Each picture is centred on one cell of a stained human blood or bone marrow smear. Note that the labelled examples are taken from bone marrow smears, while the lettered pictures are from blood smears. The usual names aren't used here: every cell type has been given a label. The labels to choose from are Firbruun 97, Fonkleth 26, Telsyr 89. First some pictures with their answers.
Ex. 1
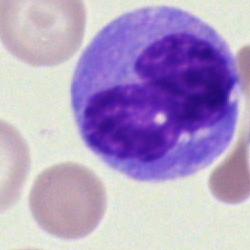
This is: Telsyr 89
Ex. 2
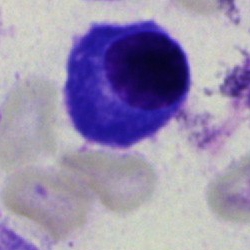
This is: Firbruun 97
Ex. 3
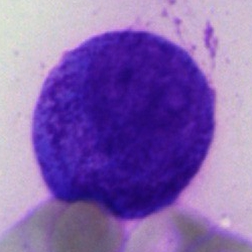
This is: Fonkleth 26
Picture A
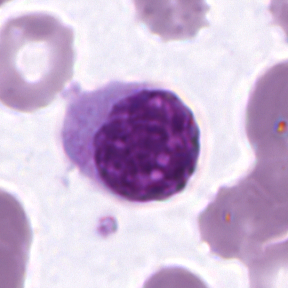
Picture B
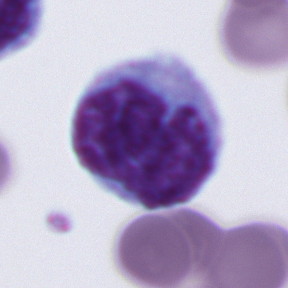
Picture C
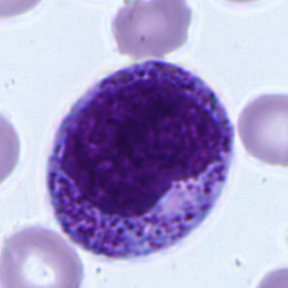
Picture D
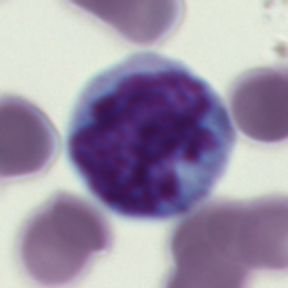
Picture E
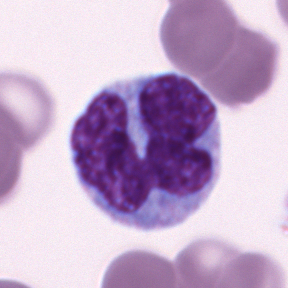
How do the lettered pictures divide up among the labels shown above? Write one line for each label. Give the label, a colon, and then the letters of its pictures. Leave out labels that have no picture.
Firbruun 97: A
Fonkleth 26: C
Telsyr 89: B, D, E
